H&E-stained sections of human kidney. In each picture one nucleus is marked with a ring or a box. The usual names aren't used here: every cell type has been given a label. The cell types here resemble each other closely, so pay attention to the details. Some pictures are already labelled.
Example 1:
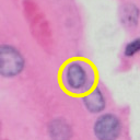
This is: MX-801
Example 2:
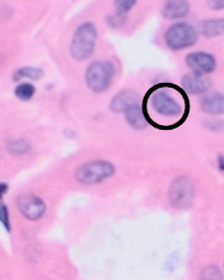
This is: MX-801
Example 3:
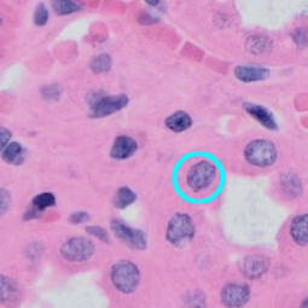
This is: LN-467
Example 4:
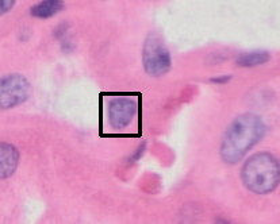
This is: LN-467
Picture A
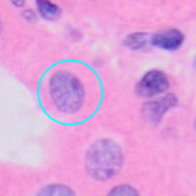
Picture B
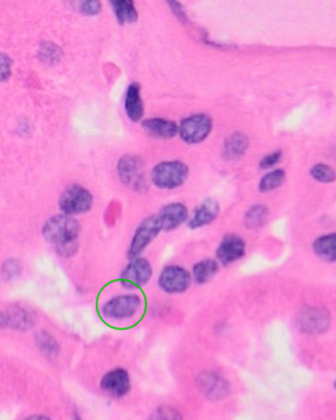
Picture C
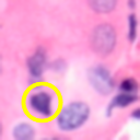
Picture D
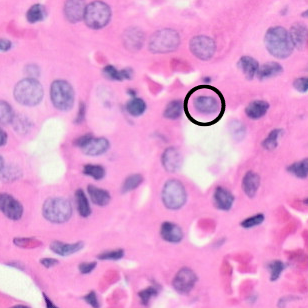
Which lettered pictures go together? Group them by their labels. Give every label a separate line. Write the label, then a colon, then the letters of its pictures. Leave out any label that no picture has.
MX-801: B, C
LN-467: A, D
